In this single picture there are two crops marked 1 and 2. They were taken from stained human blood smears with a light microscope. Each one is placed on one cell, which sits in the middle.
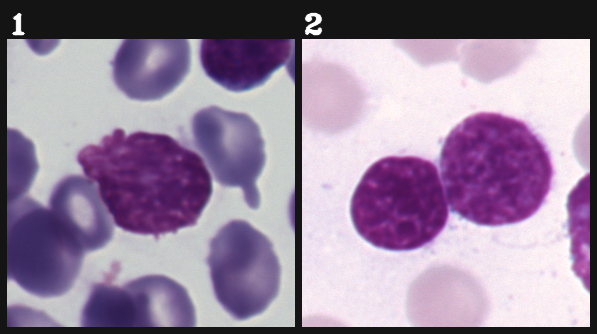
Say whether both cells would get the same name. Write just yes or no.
no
